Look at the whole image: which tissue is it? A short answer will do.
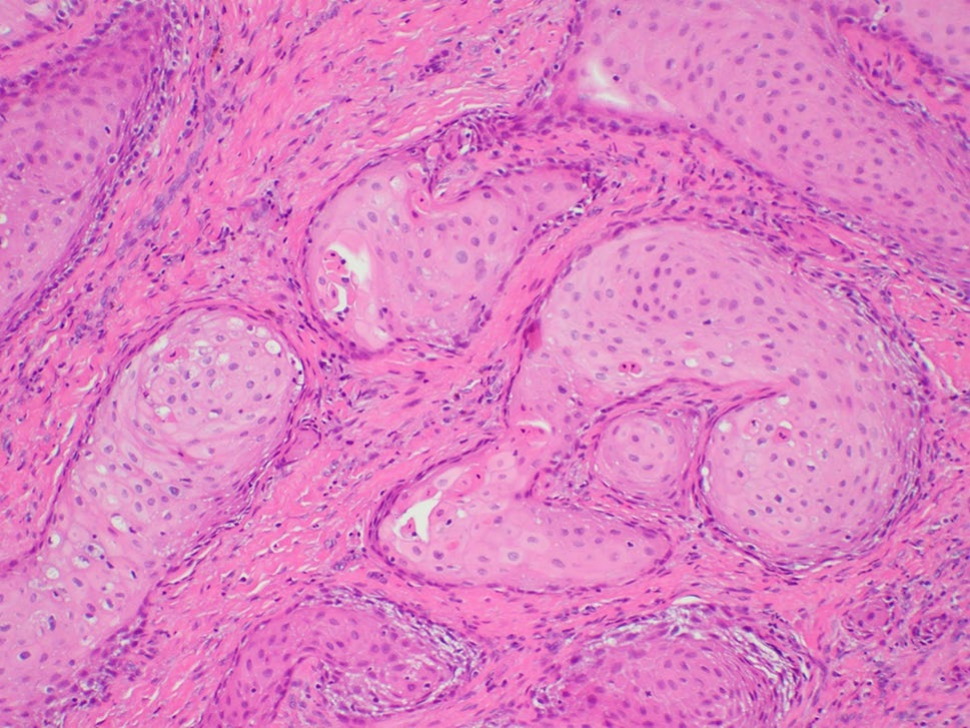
Islands of squamous epithelium.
